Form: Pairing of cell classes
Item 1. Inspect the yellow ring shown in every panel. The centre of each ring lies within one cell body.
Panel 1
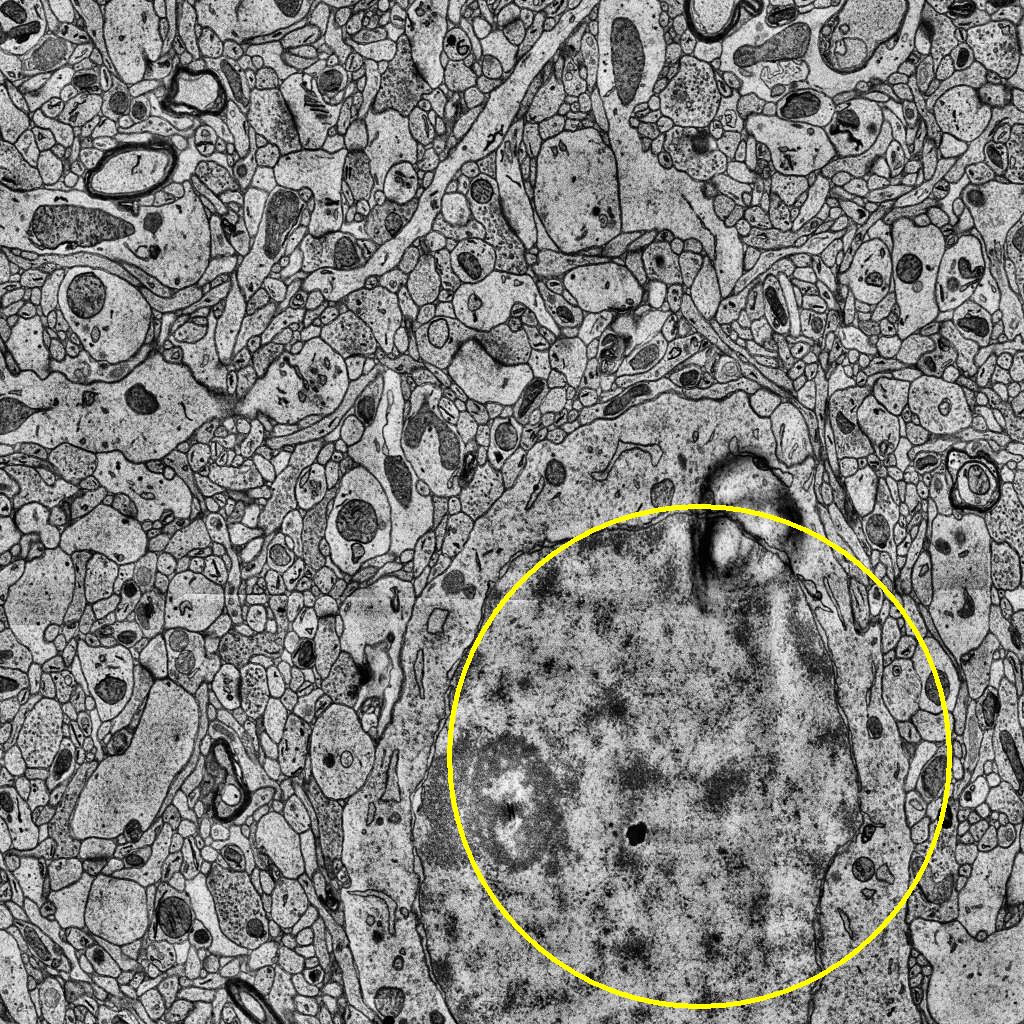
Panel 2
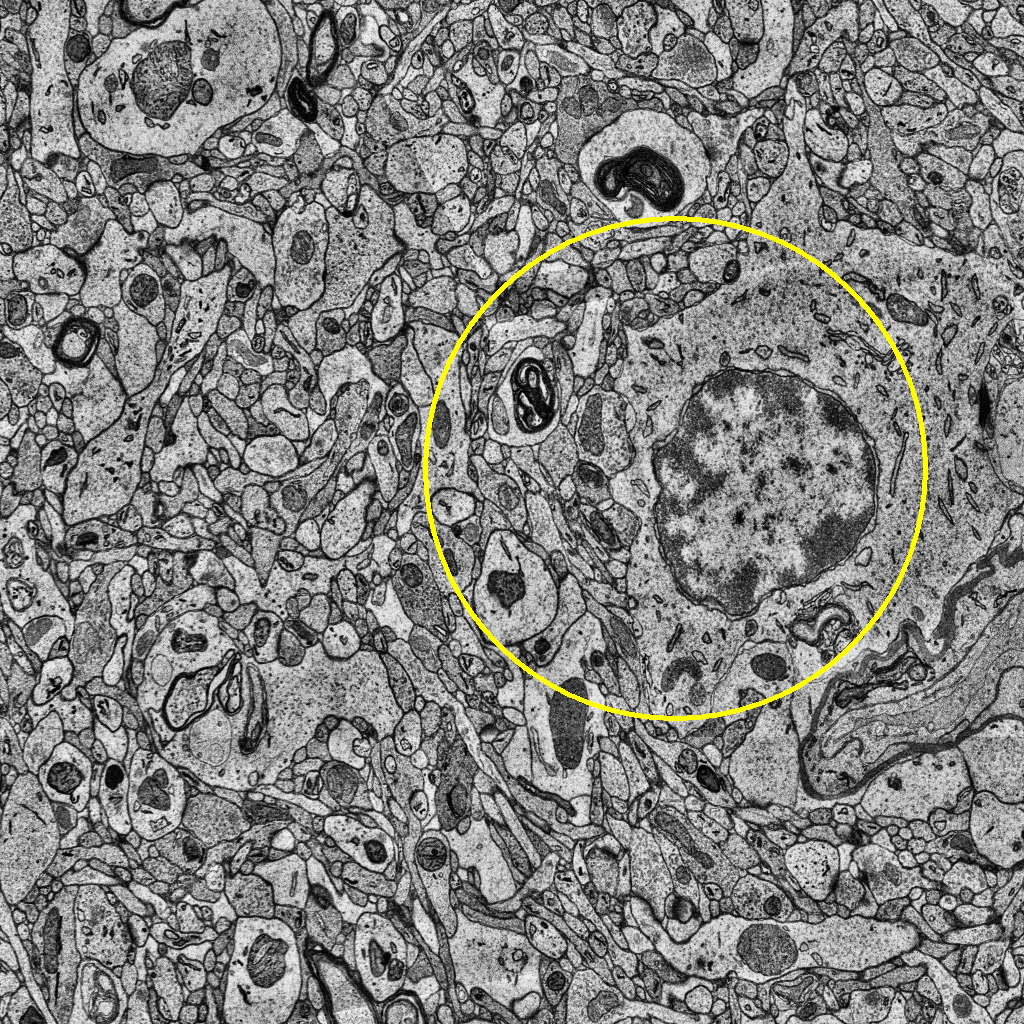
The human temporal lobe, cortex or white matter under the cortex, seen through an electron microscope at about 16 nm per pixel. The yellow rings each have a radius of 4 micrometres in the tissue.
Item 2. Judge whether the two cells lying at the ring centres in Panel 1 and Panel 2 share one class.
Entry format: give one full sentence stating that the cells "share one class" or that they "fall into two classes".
The cells at the ring centres in Panel 1 and Panel 2 fall into two classes.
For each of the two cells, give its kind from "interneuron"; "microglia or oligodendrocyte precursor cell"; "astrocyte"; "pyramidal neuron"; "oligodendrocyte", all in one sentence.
The two cells are an interneuron in the first picture and a microglial cell or oligodendrocyte precursor cell in the second.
